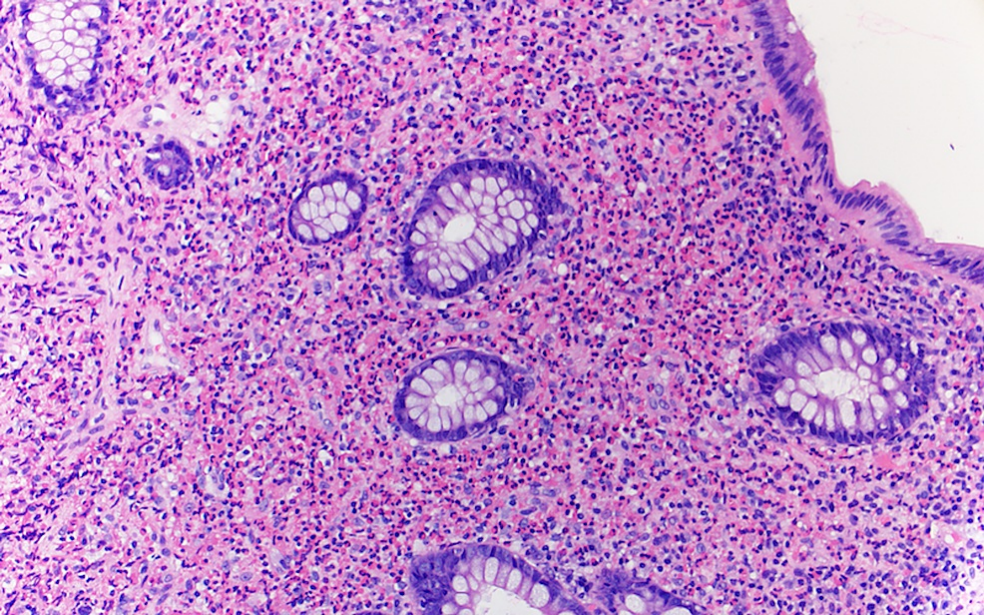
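Colonic mucosa with crypts set in a lamina propria crowded by a mixed inflammatory infiltrate. Crypts are seen in cross-section as round glands lined by a single layer of columnar cells whose cytoplasm is filled with pale mucin vacuoles, nuclei pushed to the base. The glands are few and widely spaced, pushed apart by the dense cellular stroma. The infiltrate consists of numerous cells with bright pink-red granular cytoplasm and dark nuclei, intermixed with small round cells with dark purple nuclei and scant cytoplasm. Tall columnar surface epithelium lines the upper right margin.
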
